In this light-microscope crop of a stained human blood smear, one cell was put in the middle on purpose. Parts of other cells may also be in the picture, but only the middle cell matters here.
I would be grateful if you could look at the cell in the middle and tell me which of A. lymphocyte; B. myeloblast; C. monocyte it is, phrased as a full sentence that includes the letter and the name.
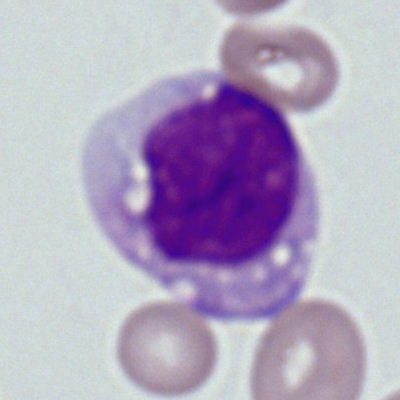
Option C is accurate; the centrally placed cell is a monocyte.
